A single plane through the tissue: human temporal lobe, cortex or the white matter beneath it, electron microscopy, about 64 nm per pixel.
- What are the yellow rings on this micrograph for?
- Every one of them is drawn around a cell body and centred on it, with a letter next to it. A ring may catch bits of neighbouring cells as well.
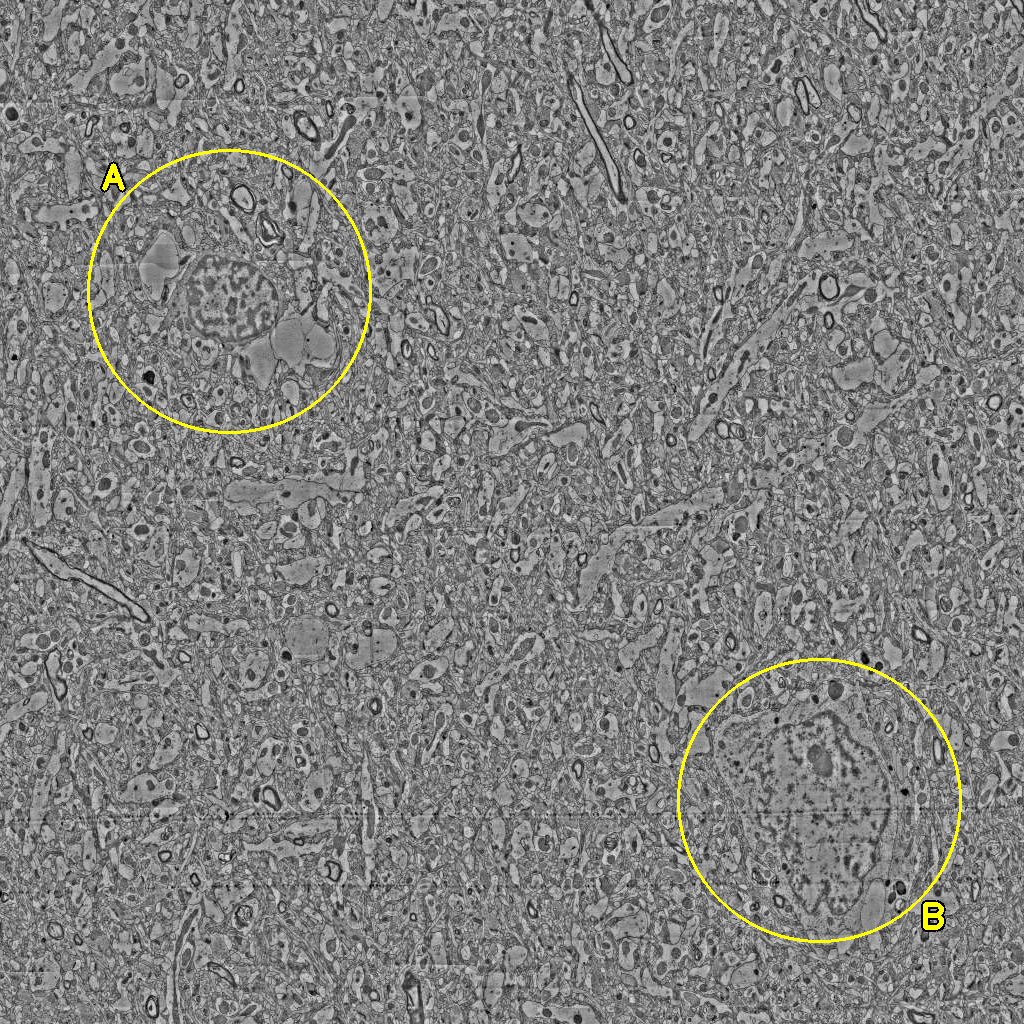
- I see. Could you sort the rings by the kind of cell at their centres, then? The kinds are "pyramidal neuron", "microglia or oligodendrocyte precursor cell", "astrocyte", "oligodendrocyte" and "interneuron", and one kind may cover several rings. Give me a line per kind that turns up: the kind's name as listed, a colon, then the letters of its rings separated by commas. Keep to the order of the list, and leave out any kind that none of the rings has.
oligodendrocyte: A
interneuron: B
